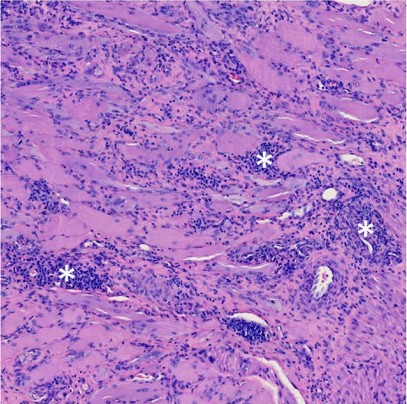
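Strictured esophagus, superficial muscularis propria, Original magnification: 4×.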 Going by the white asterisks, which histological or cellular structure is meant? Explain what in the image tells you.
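Each asterisk marks a cluster of small dark nuclei. The clusters lie between pink bundles of smooth muscle.
Conclusion: Lymphoid aggregates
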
